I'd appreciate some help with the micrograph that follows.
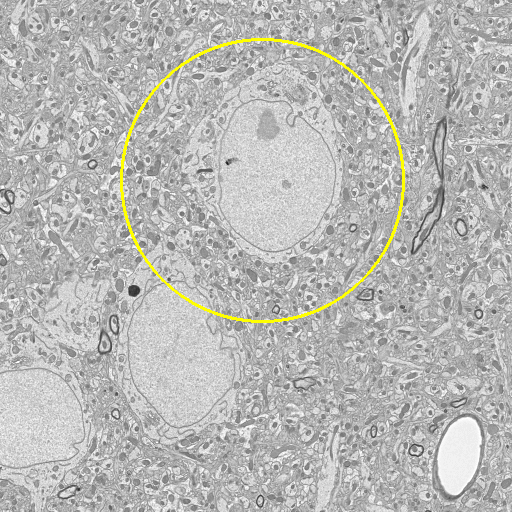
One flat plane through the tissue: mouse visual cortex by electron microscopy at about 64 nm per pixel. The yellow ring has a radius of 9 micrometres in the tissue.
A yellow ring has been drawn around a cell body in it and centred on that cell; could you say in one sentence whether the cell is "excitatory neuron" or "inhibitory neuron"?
It is an excitatory neuron at the centre of the ring.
